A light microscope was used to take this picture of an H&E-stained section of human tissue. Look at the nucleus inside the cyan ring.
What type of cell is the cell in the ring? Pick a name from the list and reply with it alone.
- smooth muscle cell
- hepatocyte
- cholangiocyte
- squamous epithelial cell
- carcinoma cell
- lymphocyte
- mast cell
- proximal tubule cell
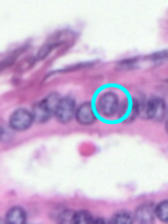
cholangiocyte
